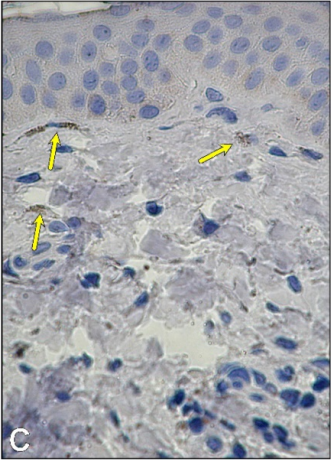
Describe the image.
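Skin with epidermis above and dermis below, with fibroblasts in the dermis. The epidermal cells are closely packed and have round to oval pale blue nuclei with evident nucleoli. The dermis is pale, loose fibrous tissue. It contains scattered cells with smaller, darker blue, elongated or oval nuclei. Several of these dermal cells just beneath the epidermis carry brown granular deposits.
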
